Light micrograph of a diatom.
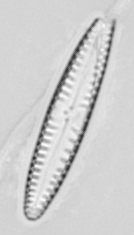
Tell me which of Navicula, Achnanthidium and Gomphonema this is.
The picture shows Gomphonema.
